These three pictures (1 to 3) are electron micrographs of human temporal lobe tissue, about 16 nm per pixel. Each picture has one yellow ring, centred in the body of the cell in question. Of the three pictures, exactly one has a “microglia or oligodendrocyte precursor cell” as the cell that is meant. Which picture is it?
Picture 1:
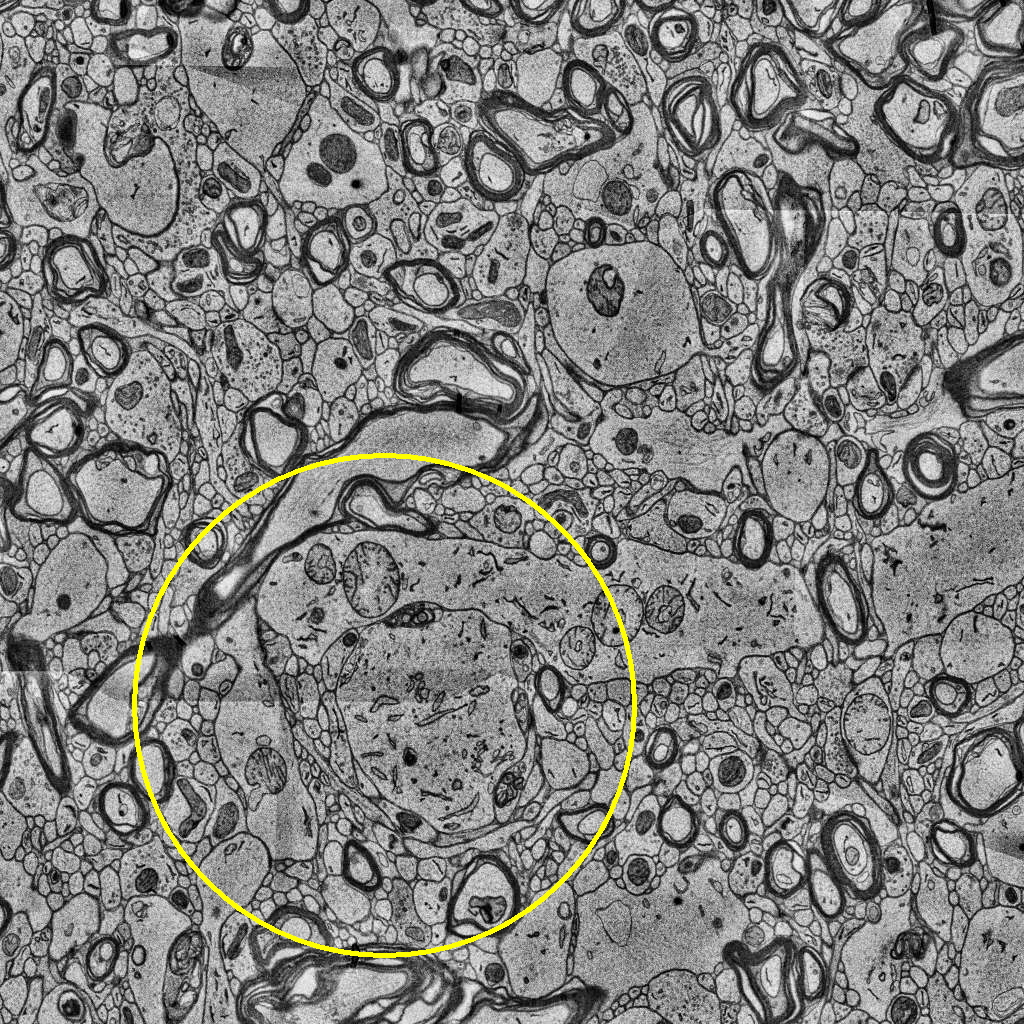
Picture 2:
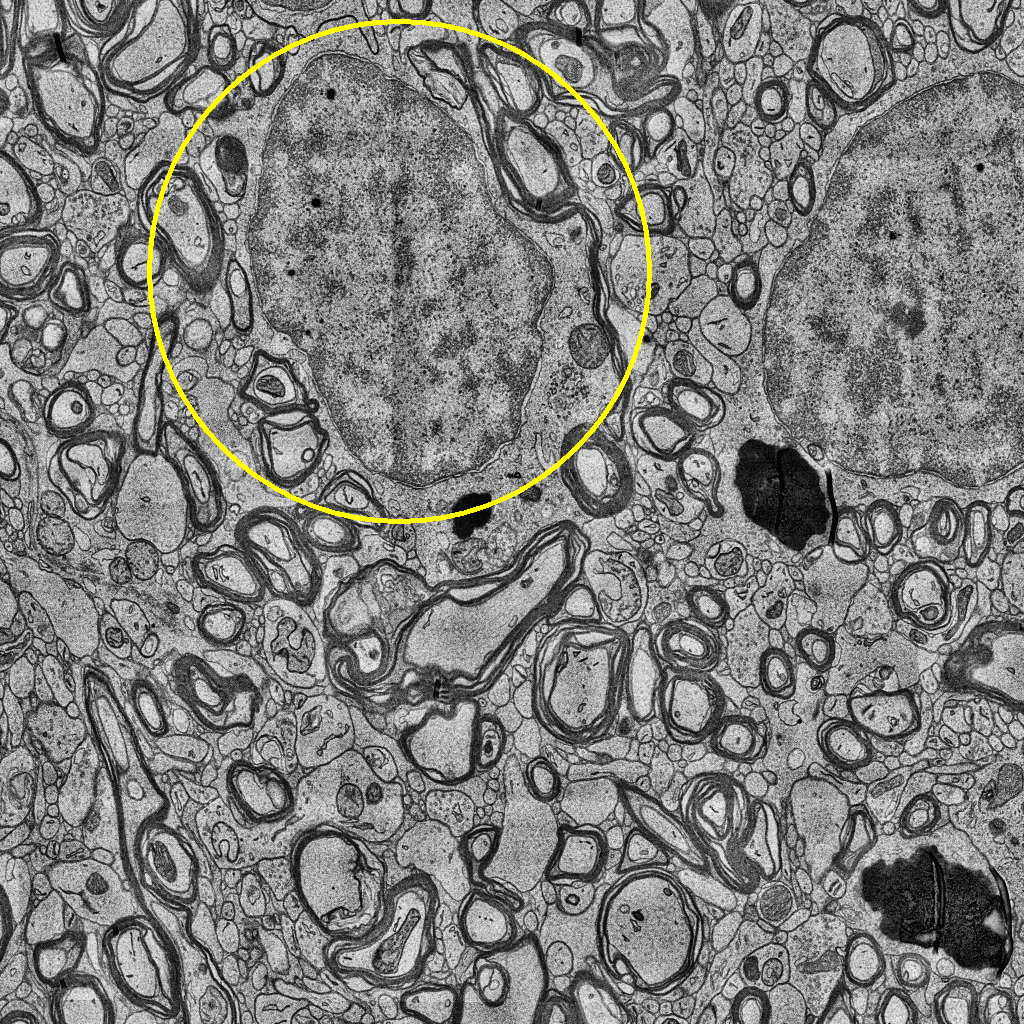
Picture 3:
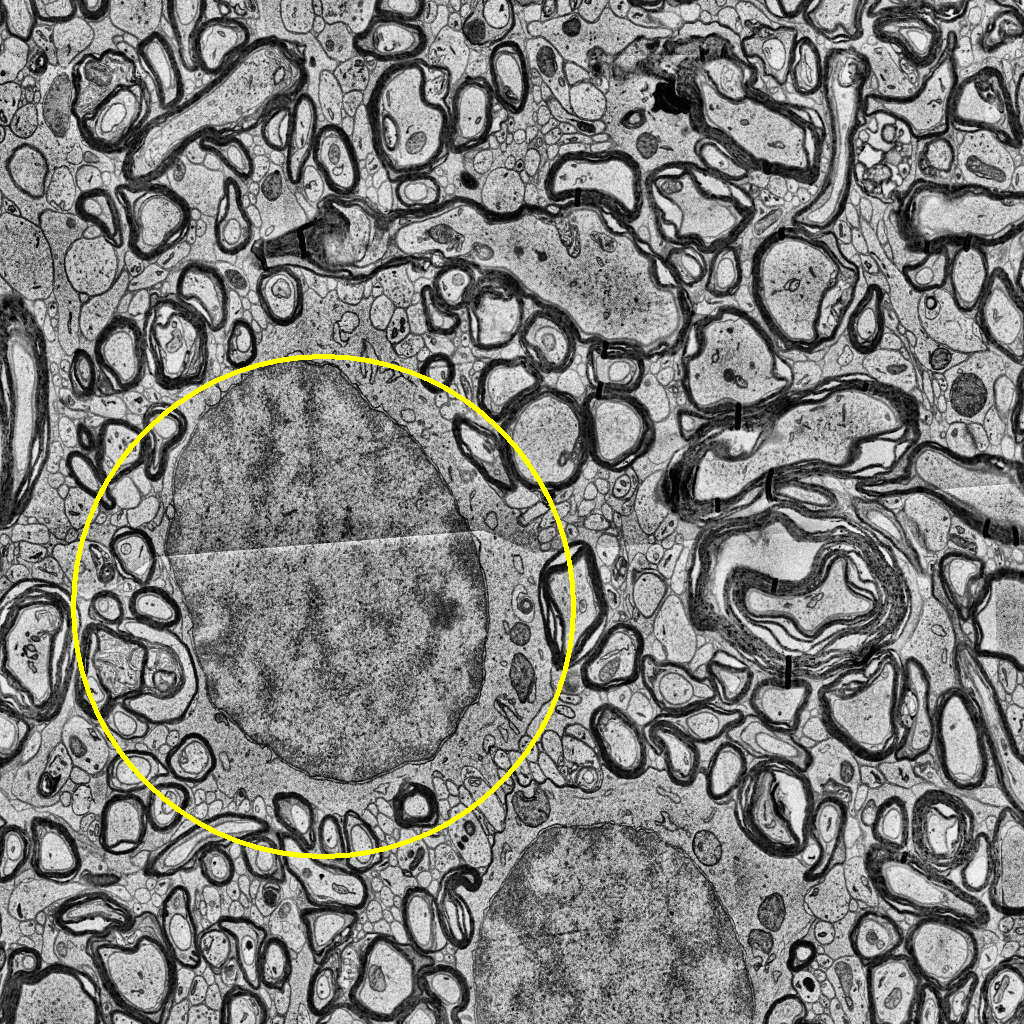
It is picture 1 that shows the “microglia or oligodendrocyte precursor cell”.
